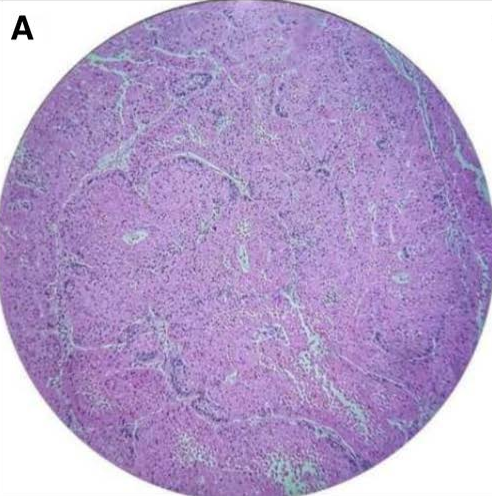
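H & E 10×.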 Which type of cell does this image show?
Granular cells.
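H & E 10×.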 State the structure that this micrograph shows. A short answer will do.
Tumor islands.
